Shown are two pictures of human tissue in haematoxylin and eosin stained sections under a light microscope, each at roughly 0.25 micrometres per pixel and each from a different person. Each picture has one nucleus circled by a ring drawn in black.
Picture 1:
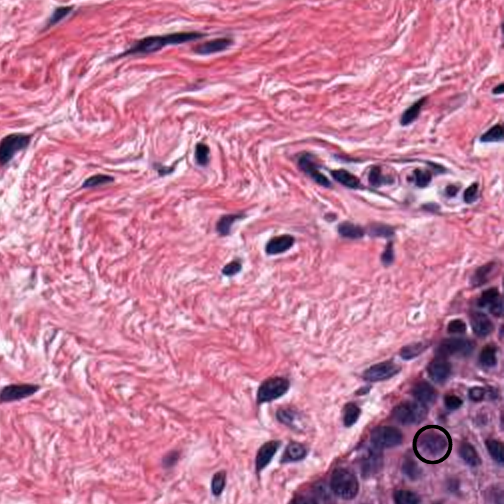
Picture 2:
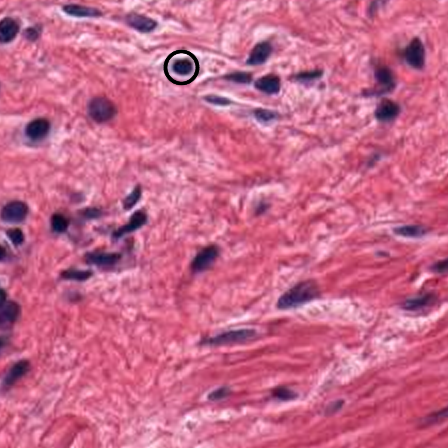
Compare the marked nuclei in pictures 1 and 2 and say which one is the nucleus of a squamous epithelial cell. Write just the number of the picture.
1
